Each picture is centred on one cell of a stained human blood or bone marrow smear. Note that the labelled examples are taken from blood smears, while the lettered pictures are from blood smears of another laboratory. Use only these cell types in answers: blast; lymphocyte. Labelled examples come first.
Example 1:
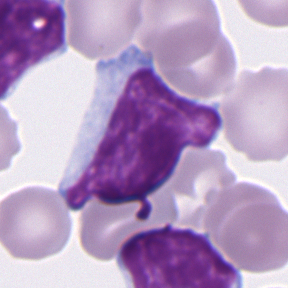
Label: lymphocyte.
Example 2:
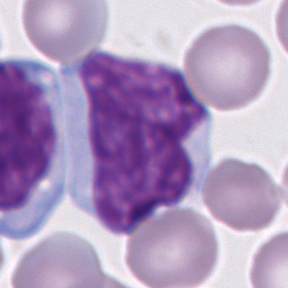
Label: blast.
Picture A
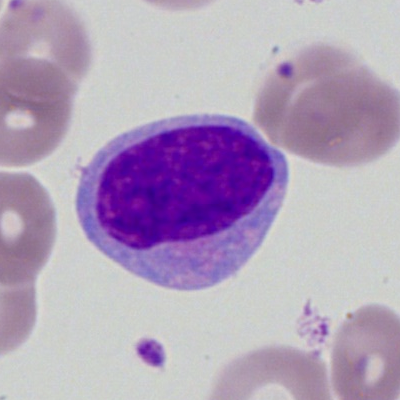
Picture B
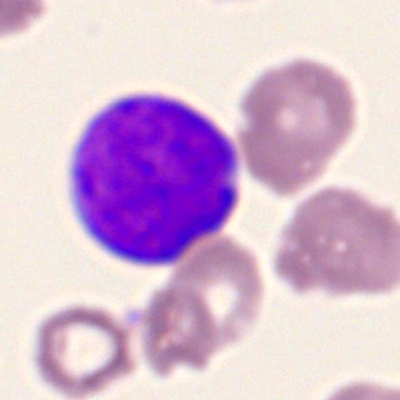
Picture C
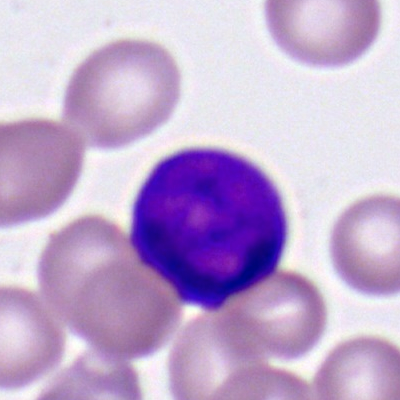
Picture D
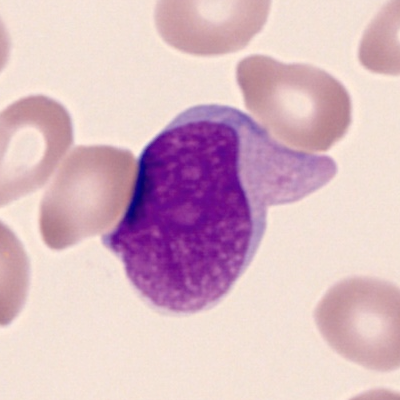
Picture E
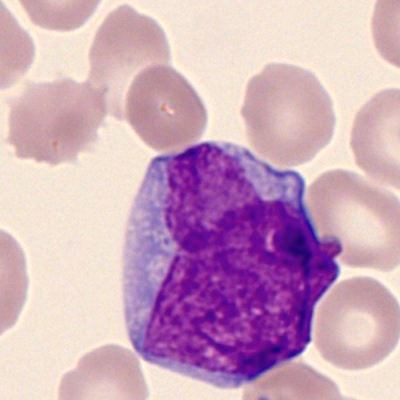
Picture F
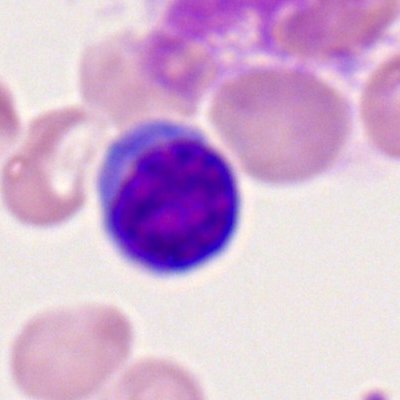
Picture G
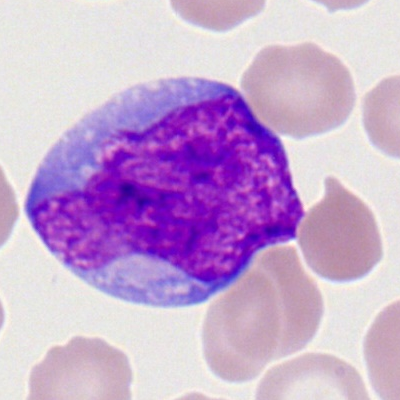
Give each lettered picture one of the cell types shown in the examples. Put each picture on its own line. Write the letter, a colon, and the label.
A: blast.
B: blast.
C: blast.
D: blast.
E: blast.
F: lymphocyte.
G: blast.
